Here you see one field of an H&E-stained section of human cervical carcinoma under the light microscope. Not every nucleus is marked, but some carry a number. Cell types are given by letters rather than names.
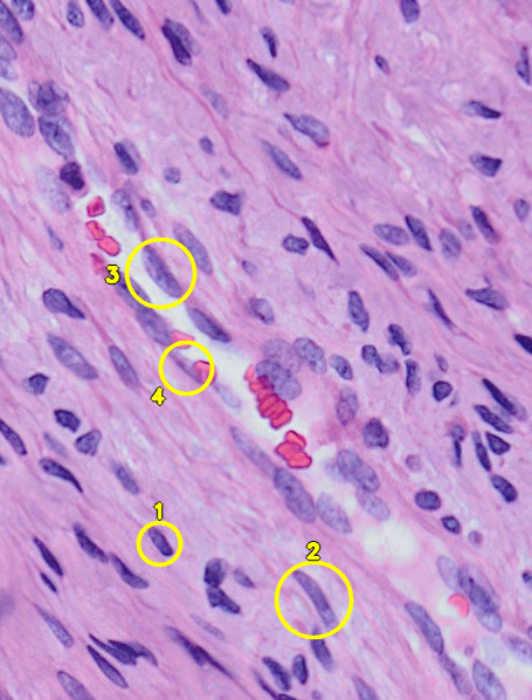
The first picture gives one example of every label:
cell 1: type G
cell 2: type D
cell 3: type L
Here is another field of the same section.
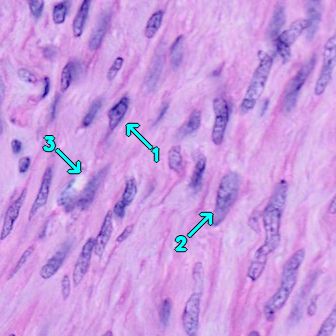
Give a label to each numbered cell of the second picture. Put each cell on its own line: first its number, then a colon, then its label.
1: type G
2: type D
3: type D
